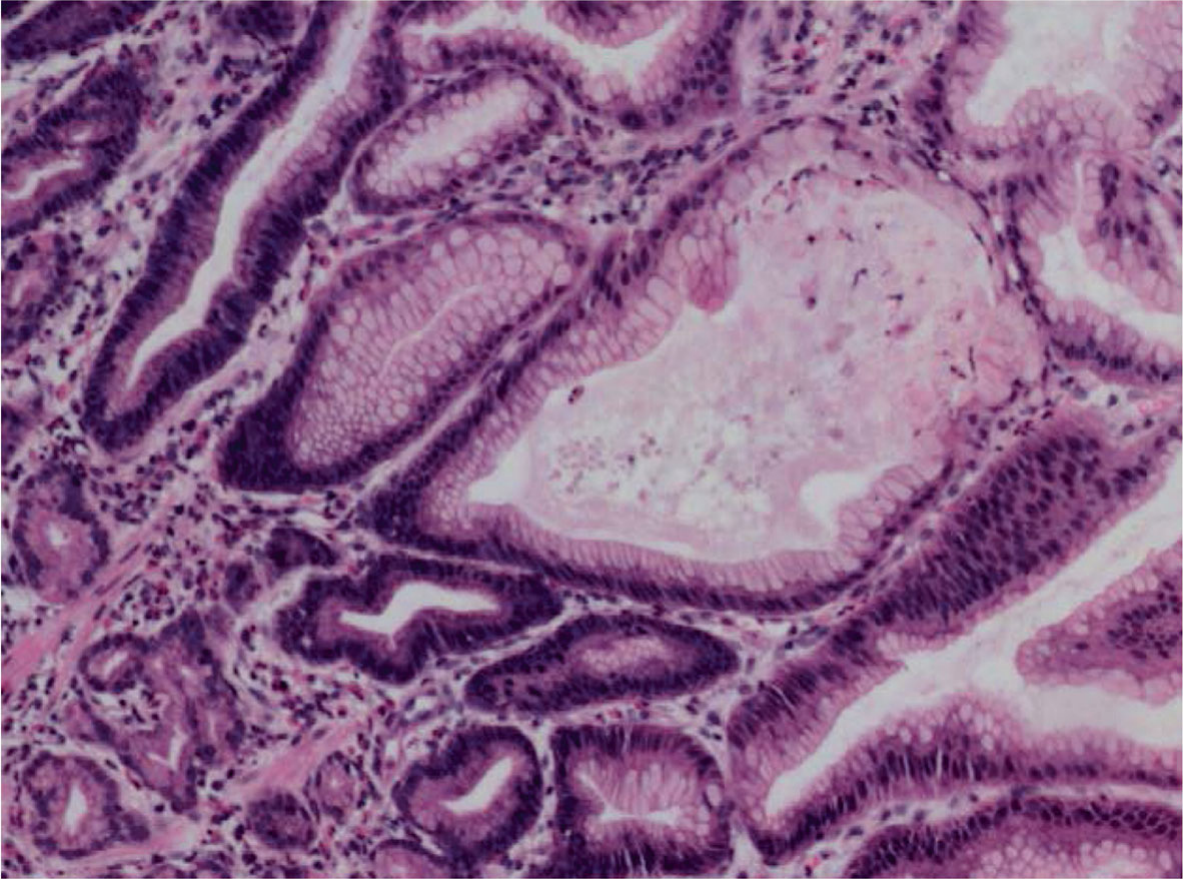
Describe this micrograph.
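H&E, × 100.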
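This is mucosa with many elongated, tortuous and partly dilated pits lined by tall columnar cells; each cell has a pale, mucin-filled apical cytoplasm and a dark, elongated nucleus at its base. One pit is cystically widened and holds pale pink mucoid material. Between the pits, the loose stroma is crowded with small, round, dark inflammatory cell nuclei. Together these features indicate foveolar hyperplasia with an inflammatory infiltrate in the lamina propria.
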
